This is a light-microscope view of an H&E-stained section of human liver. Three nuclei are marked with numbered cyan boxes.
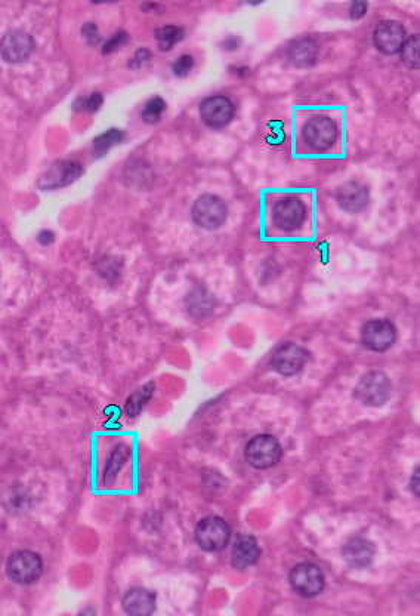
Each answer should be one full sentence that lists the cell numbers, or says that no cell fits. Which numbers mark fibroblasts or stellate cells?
The only cell among those numbered to be a fibroblast or stellate cell is number 2.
